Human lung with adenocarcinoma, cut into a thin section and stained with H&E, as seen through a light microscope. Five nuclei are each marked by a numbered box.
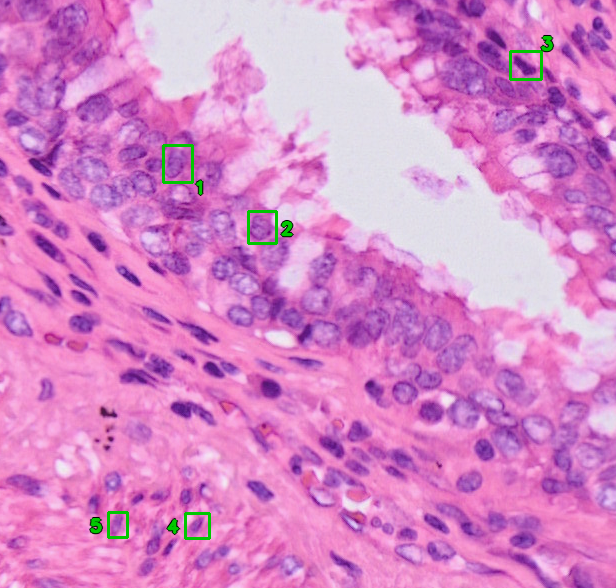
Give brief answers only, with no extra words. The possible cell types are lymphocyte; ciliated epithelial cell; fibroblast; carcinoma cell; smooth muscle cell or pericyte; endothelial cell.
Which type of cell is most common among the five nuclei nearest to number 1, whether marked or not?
ciliated epithelial cell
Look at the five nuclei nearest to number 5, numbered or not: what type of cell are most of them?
smooth muscle cell or pericyte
